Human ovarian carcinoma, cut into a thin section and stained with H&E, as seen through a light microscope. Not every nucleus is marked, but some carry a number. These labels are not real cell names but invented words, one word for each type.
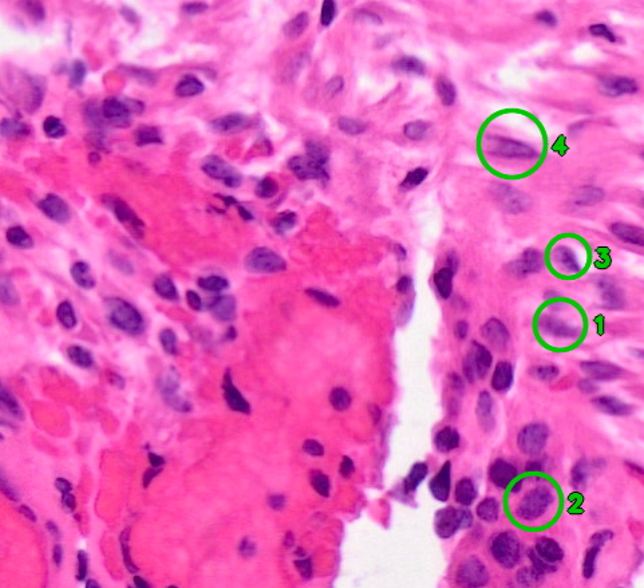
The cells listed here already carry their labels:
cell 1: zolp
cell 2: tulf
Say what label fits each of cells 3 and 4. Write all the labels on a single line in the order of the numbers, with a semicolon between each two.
zolp; zolp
